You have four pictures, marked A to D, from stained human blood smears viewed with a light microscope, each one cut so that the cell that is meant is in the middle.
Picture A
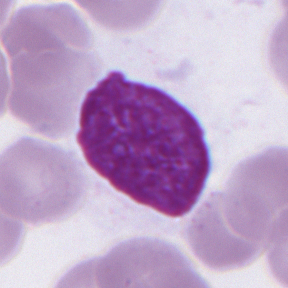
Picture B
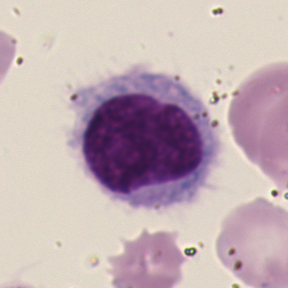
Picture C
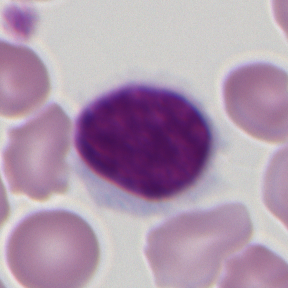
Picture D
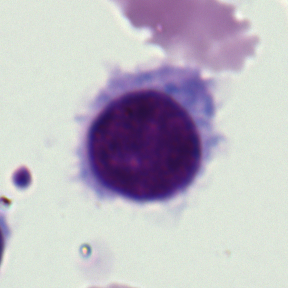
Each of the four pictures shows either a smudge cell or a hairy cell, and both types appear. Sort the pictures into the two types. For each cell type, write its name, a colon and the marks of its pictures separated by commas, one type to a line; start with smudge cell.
smudge cell: A
hairy cell: B, C, D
